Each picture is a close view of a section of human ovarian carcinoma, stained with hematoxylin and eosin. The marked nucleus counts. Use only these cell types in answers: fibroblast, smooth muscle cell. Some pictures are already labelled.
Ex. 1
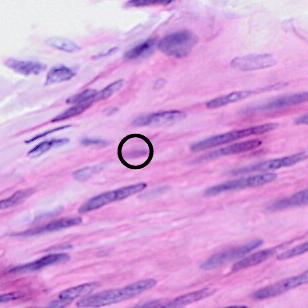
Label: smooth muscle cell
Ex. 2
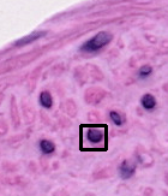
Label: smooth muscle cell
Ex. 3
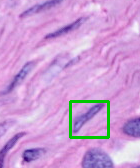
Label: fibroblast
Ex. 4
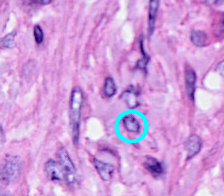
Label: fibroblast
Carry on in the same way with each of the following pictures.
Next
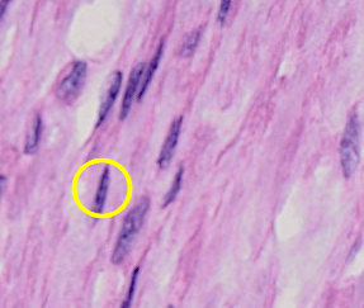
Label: fibroblast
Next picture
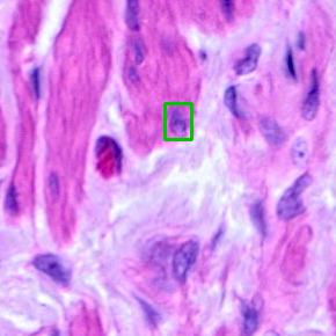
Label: smooth muscle cell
